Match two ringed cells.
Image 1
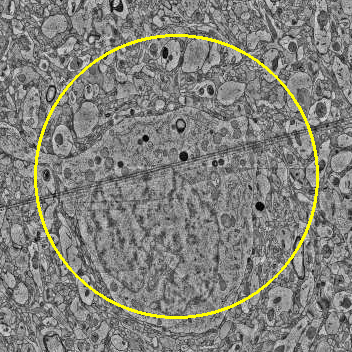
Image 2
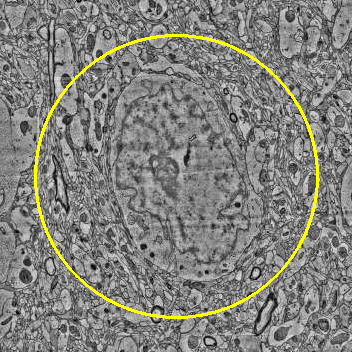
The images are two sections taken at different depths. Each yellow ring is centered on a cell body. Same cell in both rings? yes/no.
no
